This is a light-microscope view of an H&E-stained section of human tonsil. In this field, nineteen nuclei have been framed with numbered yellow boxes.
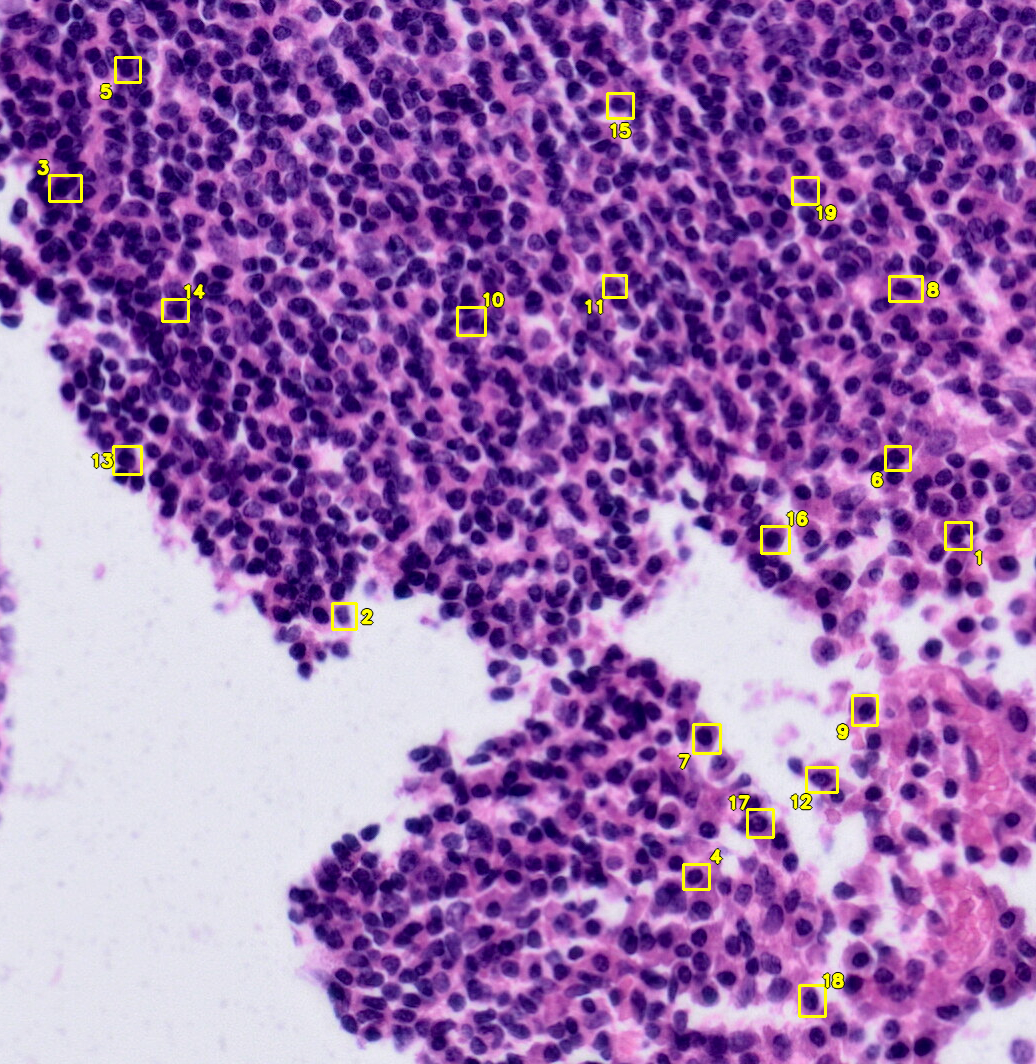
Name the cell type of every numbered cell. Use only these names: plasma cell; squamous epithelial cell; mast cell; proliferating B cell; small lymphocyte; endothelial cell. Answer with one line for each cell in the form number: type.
1: plasma cell
2: small lymphocyte
3: small lymphocyte
4: plasma cell
5: small lymphocyte
6: plasma cell
7: plasma cell
8: plasma cell
9: plasma cell
10: small lymphocyte
11: small lymphocyte
12: plasma cell
13: small lymphocyte
14: small lymphocyte
15: small lymphocyte
16: plasma cell
17: plasma cell
18: plasma cell
19: small lymphocyte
